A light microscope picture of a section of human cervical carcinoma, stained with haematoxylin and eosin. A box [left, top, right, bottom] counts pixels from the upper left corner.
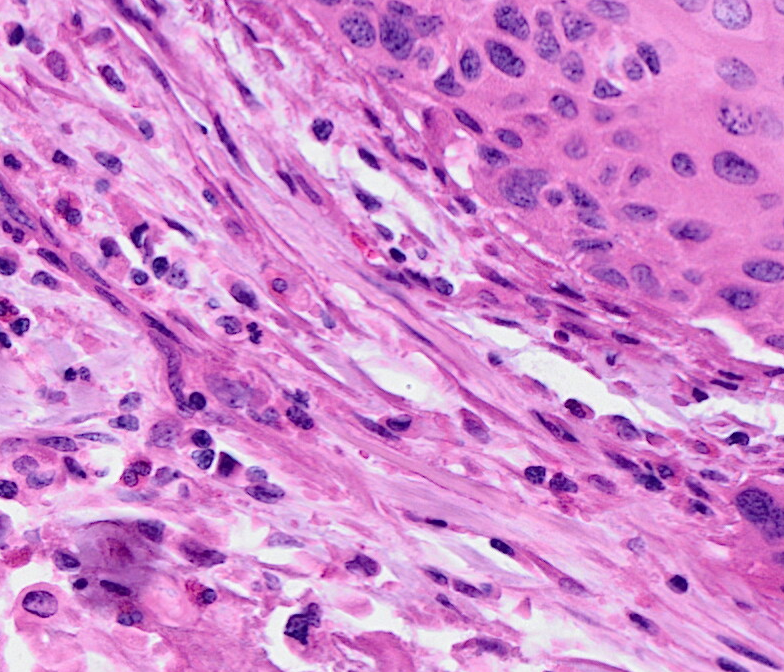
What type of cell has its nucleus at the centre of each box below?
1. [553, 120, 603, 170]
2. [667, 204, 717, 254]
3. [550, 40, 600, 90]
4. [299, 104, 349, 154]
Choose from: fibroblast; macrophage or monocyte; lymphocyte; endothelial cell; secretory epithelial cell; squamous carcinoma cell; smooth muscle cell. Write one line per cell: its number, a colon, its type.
1: squamous carcinoma cell
2: squamous carcinoma cell
3: squamous carcinoma cell
4: lymphocyte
